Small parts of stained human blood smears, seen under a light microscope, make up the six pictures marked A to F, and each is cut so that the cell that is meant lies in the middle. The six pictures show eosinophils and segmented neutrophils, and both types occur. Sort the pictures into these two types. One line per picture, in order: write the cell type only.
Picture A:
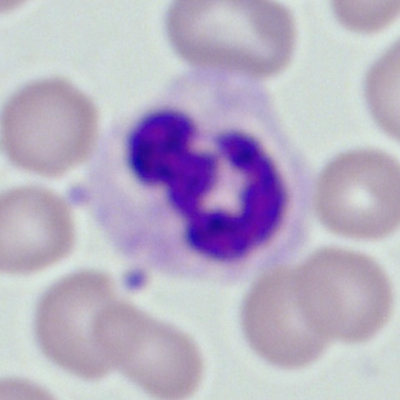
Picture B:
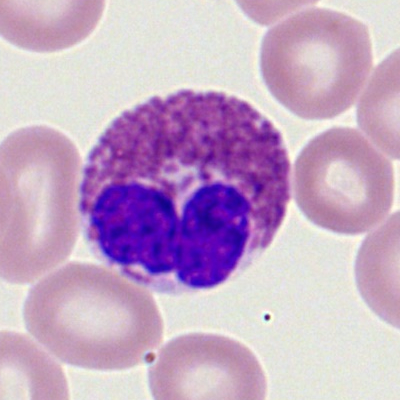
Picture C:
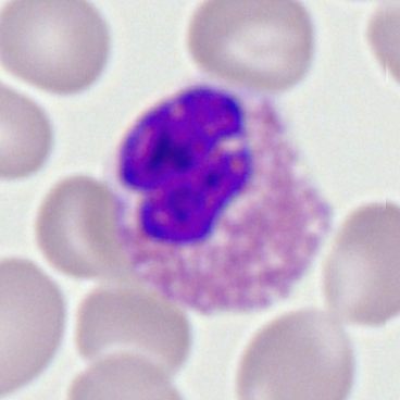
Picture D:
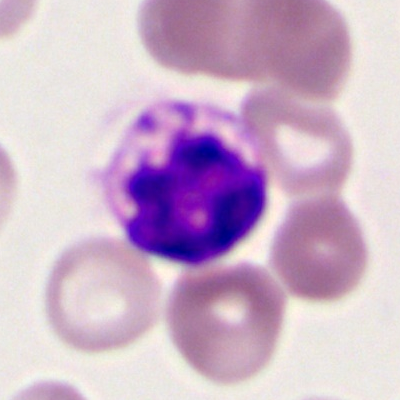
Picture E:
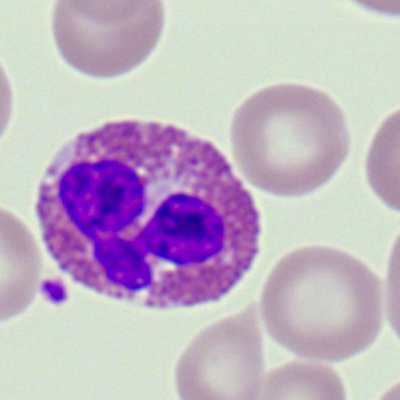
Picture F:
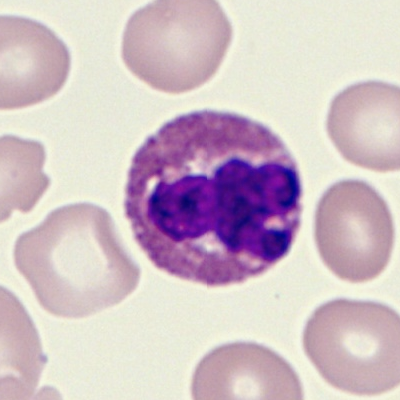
segmented neutrophil
eosinophil
eosinophil
segmented neutrophil
eosinophil
eosinophil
